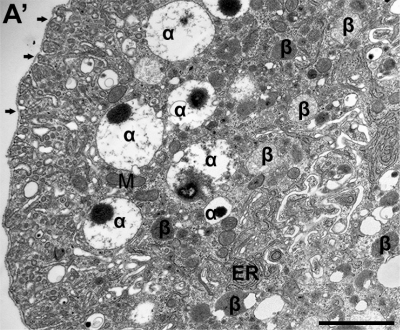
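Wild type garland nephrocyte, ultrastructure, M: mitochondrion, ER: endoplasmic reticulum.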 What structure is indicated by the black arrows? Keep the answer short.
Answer: Basal membrane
